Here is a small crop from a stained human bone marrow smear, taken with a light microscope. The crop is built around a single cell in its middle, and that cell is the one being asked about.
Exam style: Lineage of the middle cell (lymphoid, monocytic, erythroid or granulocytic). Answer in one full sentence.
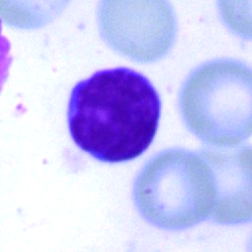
The correct lineage for the cell at the center is the lymphoid one.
